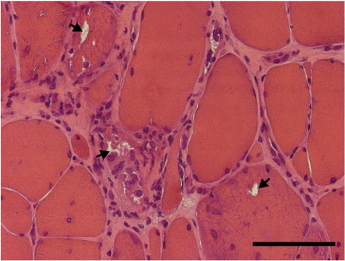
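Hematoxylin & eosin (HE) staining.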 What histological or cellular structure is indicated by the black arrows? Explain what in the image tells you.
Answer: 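Arrows point to clear spaces inside fibers. That points to this answer: Rimmed vacuoles.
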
